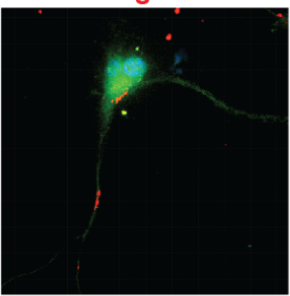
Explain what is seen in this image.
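A single neuron with a green cell body around a blue nucleus and long thin processes running away from it. A few small red puncta sit at the edge of the cell body and along a process.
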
